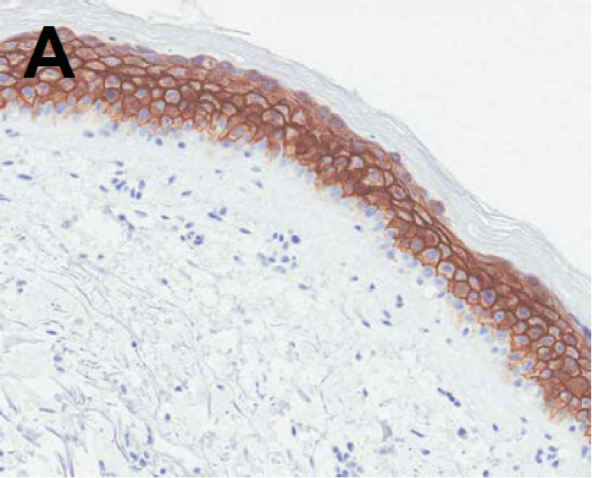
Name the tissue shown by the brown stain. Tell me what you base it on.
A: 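A stratified squamous epithelium of many cell layers is stained brown. Flat, pale, anucleate layers lie on top. Loose pale connective tissue with scattered nuclei lies beneath. So: epidermis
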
